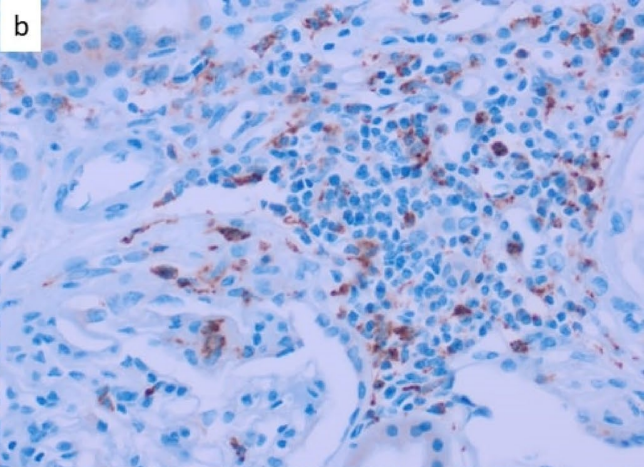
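Kidney tissue with a dense infiltrate of small round blue nuclei packed between tubules, among which scattered cells carry brown granular cytoplasm with irregular outlines and short processes. Some brown cells are rounded and plump, others stretched thin along tubular walls. The tubules at the edges are lined by cuboidal epithelium with pale cytoplasm.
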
